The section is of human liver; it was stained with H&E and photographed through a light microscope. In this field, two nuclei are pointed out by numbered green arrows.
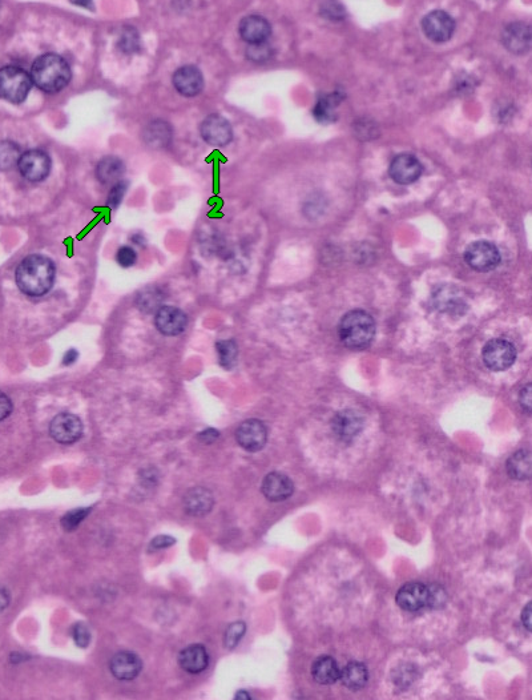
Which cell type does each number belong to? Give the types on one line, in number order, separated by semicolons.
fibroblast or stellate cell; hepatocyte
